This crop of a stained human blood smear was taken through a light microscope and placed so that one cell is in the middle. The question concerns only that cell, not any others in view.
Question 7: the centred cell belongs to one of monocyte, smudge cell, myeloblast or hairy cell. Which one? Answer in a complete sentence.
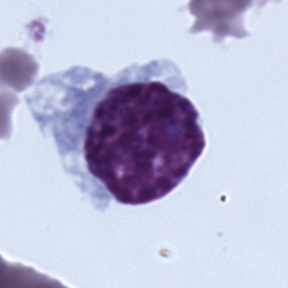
The cell the crop is centered on is a hairy cell.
